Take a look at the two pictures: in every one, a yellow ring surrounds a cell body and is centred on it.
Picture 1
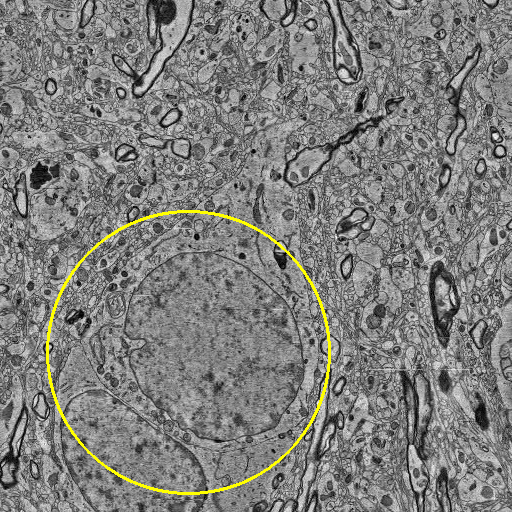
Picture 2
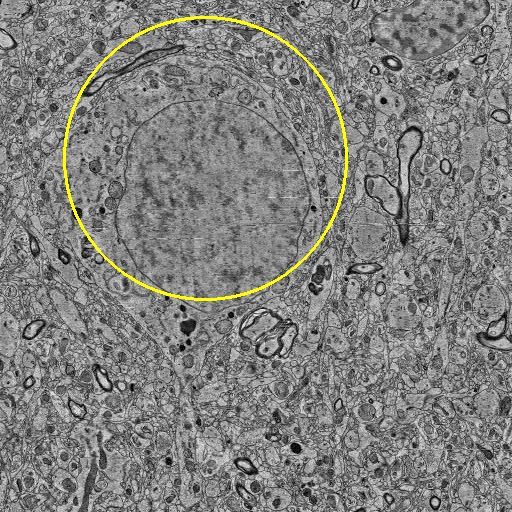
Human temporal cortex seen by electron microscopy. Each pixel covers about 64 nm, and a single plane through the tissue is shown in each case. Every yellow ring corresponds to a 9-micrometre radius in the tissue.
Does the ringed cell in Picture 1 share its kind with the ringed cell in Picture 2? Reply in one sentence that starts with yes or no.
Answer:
Yes, the two centred cells, one per picture, are of one kind.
